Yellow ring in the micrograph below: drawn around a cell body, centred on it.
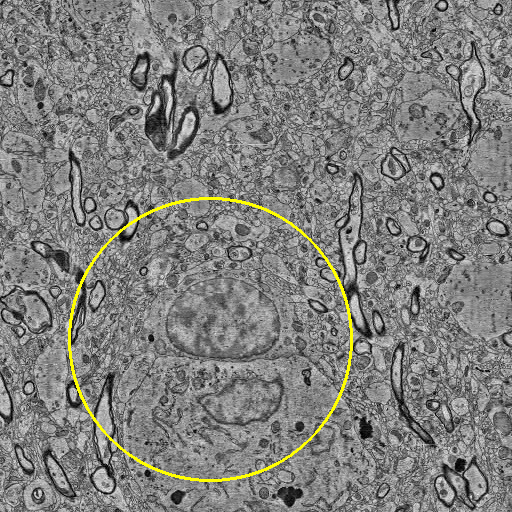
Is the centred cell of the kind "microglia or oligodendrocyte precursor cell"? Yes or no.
no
